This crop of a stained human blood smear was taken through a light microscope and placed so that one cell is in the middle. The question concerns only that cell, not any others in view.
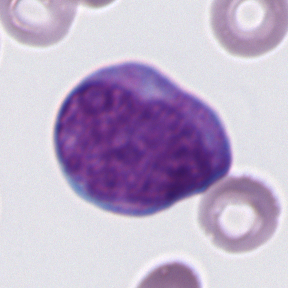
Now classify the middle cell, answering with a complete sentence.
The crop centres on a single cell, and that cell is an atypical promyelocyte.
